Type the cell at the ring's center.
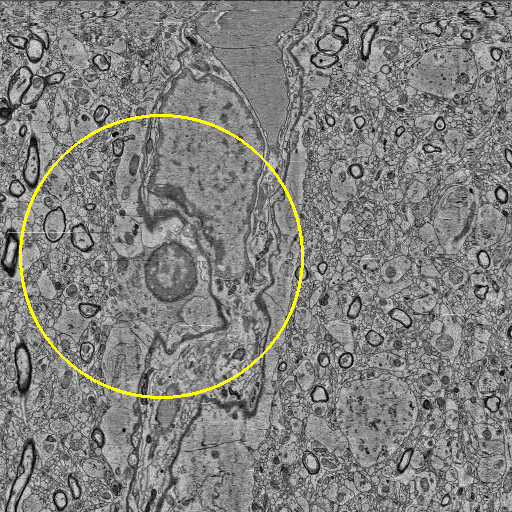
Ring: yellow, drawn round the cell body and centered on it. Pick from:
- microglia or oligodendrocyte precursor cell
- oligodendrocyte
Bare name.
oligodendrocyte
